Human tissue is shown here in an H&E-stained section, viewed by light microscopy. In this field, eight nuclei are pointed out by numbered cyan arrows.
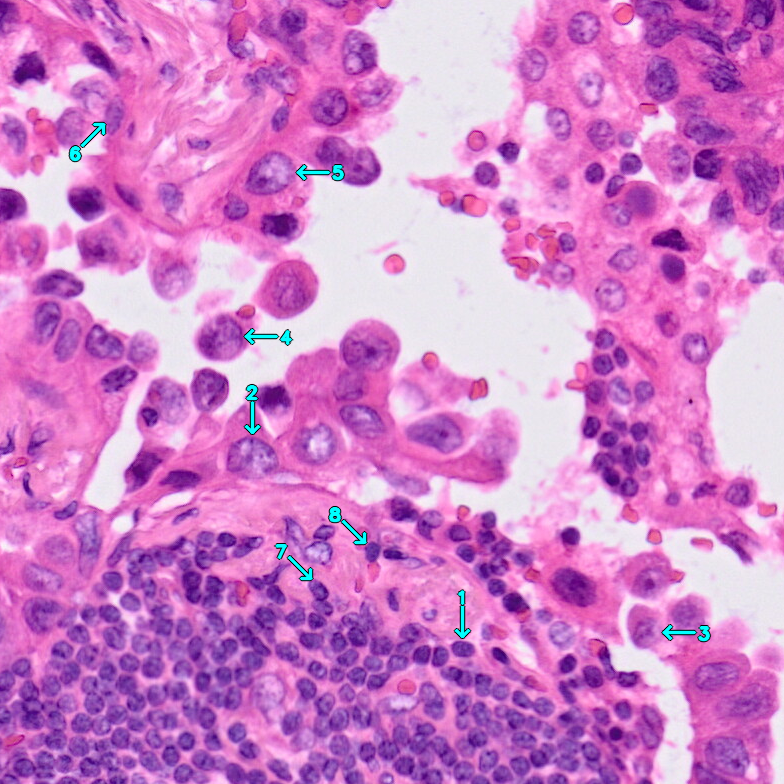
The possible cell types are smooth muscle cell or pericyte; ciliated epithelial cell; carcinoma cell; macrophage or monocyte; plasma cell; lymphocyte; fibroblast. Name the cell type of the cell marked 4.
carcinoma cell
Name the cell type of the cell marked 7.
lymphocyte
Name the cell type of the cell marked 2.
carcinoma cell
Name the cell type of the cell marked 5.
carcinoma cell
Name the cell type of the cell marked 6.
carcinoma cell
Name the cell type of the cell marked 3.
carcinoma cell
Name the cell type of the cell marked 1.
lymphocyte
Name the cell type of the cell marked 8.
lymphocyte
